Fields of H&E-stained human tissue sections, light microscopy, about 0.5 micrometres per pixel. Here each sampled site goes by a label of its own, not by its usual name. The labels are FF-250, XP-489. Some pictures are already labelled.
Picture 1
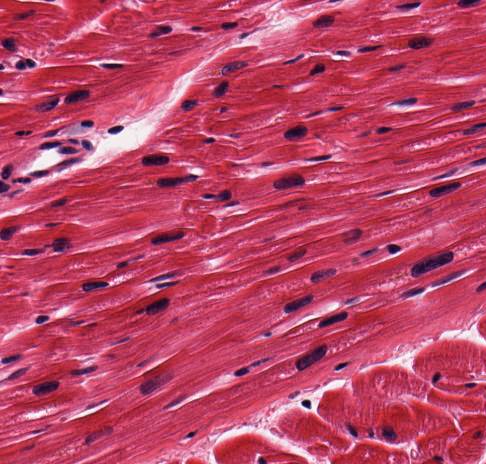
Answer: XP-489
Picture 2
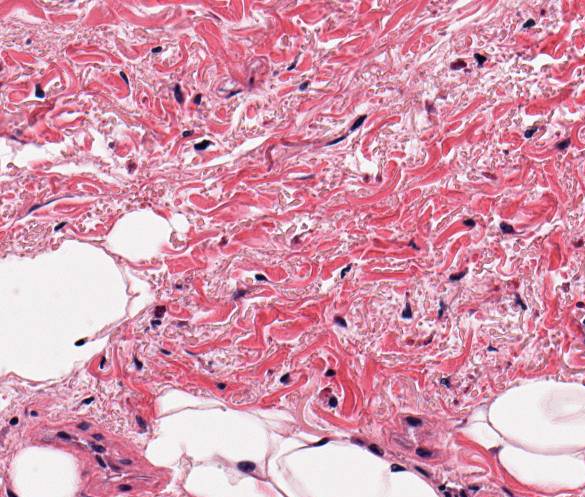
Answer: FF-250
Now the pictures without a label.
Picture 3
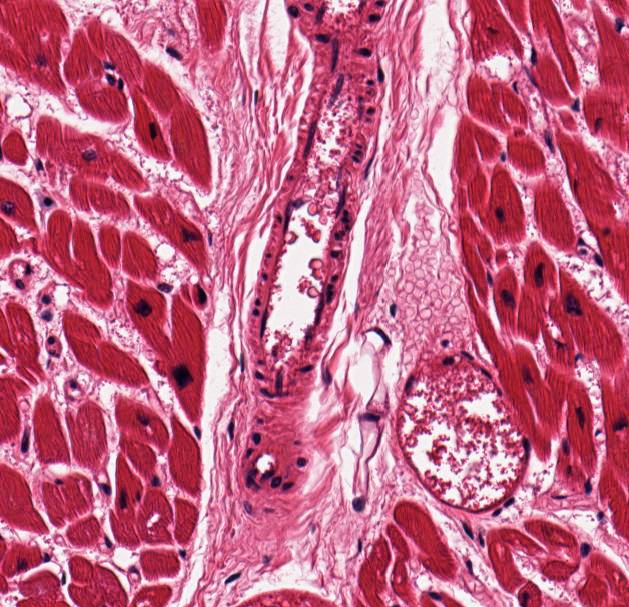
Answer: XP-489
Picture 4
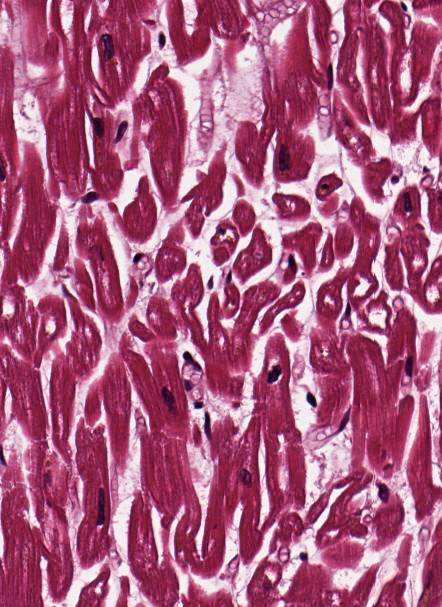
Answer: XP-489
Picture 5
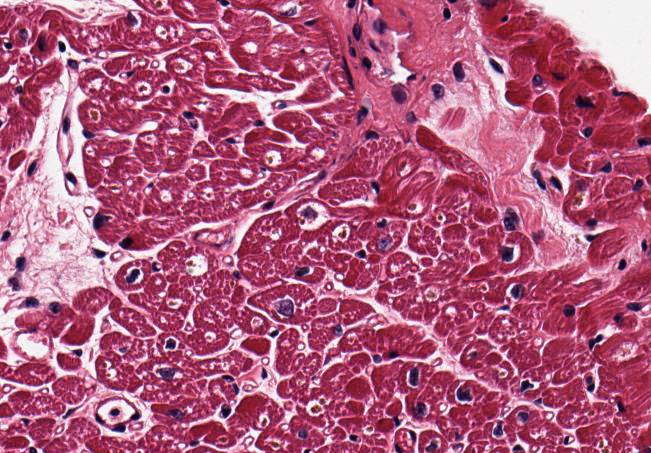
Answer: XP-489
